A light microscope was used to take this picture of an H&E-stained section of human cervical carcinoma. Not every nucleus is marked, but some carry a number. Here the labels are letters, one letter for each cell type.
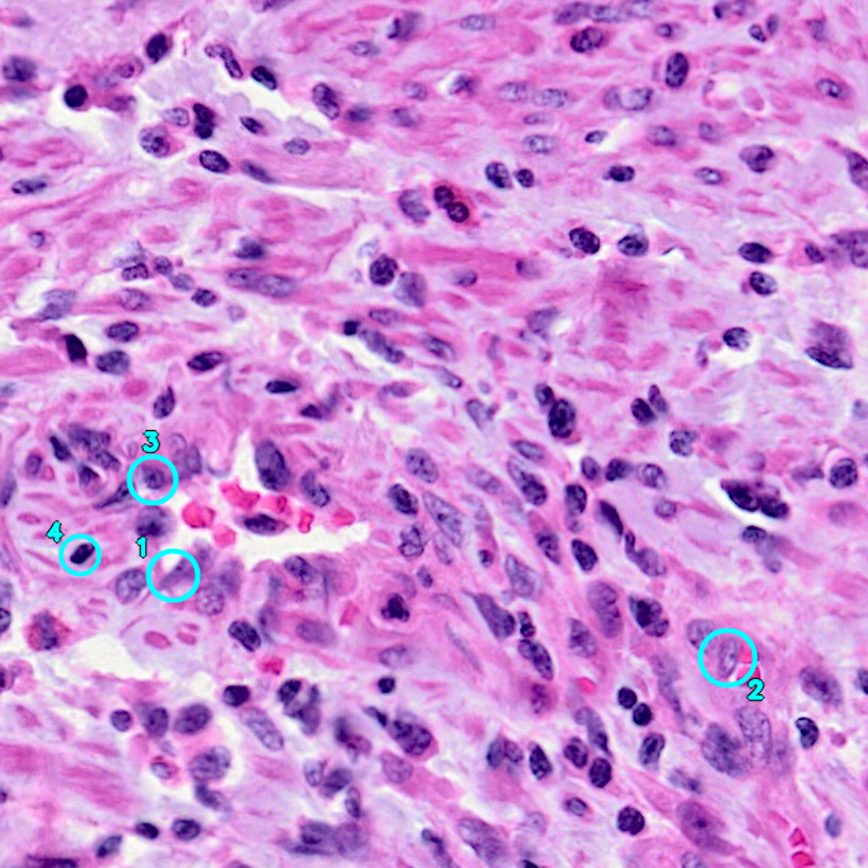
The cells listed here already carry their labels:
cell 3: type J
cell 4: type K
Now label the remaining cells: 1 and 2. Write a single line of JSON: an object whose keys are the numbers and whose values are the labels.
{"1": "type J", "2": "type J"}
